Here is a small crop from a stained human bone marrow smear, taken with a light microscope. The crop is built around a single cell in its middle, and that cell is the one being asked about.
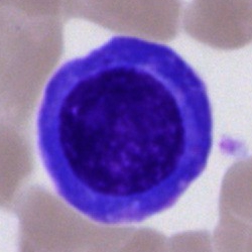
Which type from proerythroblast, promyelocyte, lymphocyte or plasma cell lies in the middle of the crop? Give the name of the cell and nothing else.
plasma cell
